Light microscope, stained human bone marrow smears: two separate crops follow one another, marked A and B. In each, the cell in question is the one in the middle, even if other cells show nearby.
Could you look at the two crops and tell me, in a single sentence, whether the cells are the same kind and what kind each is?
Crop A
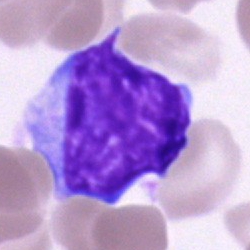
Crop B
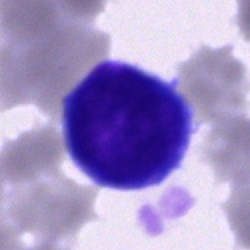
Yes, in the case of both crops, the central cells are blasts.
